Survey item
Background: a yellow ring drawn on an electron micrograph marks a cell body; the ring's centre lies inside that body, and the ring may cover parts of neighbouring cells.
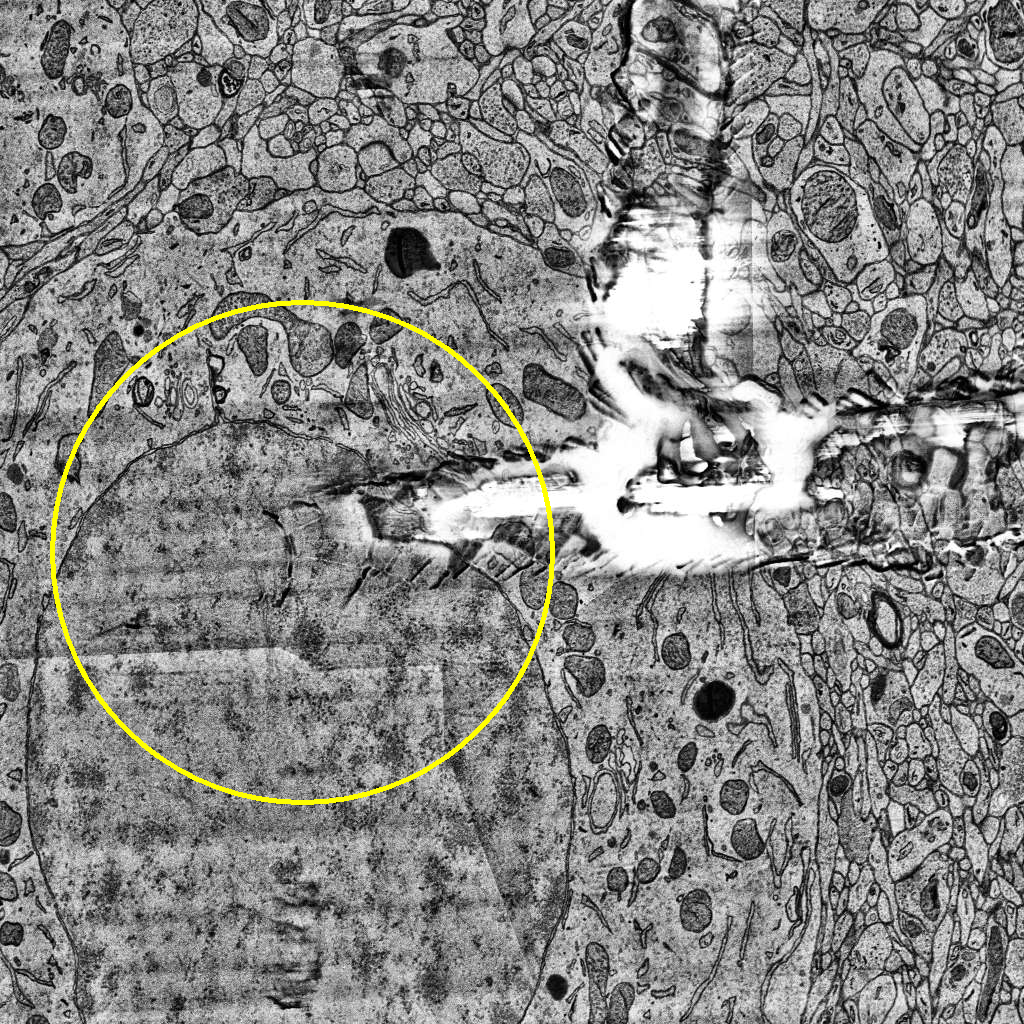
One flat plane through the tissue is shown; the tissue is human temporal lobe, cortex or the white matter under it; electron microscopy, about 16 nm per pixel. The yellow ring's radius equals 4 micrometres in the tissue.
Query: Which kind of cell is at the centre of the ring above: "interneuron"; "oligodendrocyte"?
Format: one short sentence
The cell in the middle of the ring is an interneuron.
